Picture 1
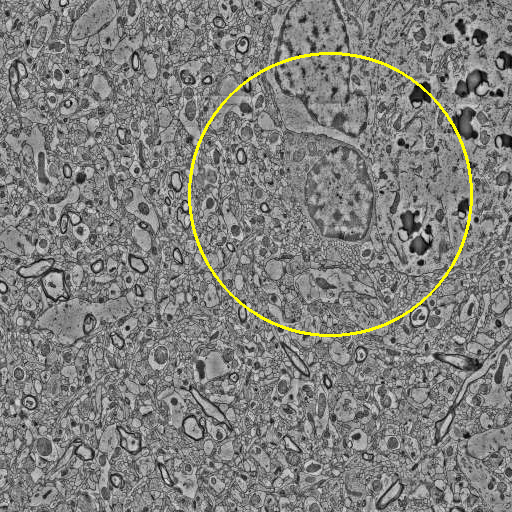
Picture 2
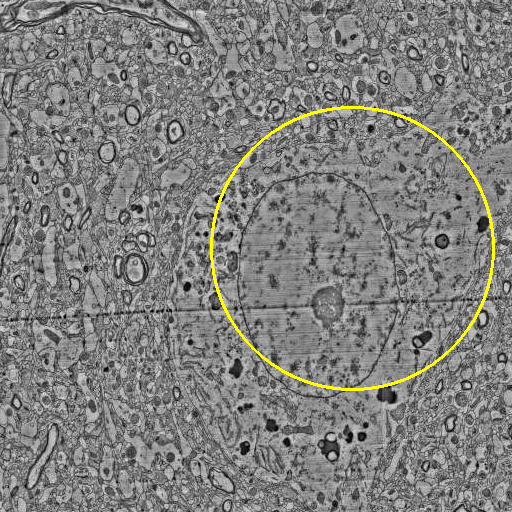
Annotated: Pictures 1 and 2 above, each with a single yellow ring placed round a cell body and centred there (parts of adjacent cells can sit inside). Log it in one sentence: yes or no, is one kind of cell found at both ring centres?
No, the ring centres of the two pictures hold cells of two kinds.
